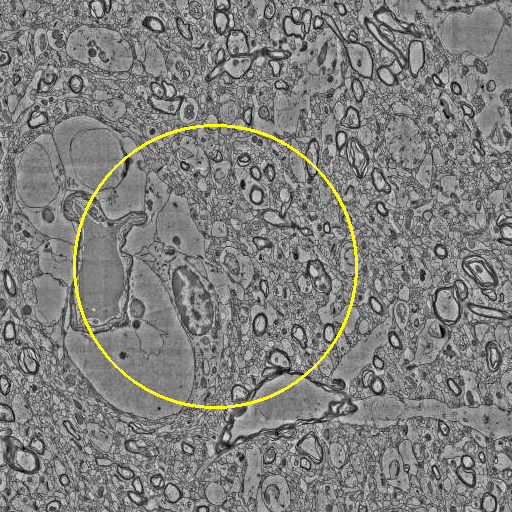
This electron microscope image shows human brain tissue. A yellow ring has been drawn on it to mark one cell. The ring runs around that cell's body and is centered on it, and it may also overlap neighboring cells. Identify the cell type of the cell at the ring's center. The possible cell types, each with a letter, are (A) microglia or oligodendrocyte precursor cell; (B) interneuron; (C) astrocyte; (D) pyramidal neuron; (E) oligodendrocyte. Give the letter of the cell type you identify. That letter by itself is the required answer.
A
